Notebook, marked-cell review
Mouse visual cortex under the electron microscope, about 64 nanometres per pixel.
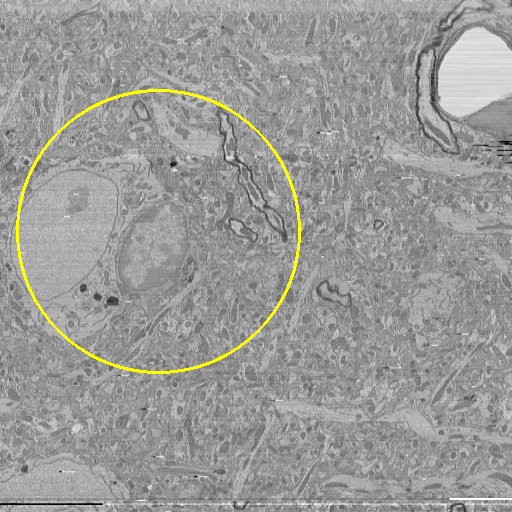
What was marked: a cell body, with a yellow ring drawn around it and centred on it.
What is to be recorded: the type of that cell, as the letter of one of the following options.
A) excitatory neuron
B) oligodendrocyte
B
